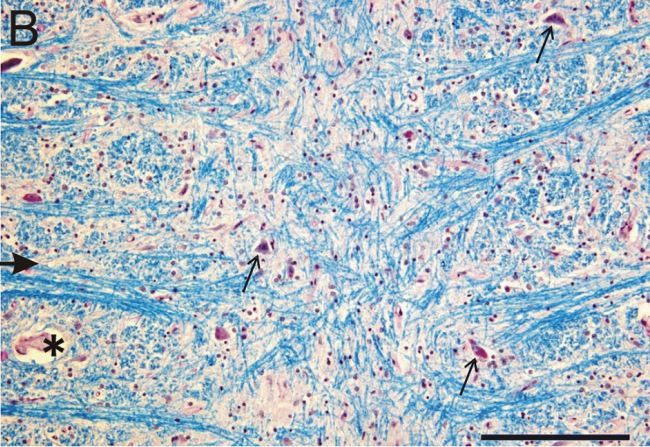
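Blue-stained fiber bundles run in several directions and cross one another, some cut lengthwise as streaks and others across as dotted fields. Between them lies paler tissue with many small dark round nuclei of glial cells. Scattered large neurons have magenta, polygonal or elongated cell bodies, far bigger than the glial nuclei. In the lower left a small blood vessel with a pink wall is cut across.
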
